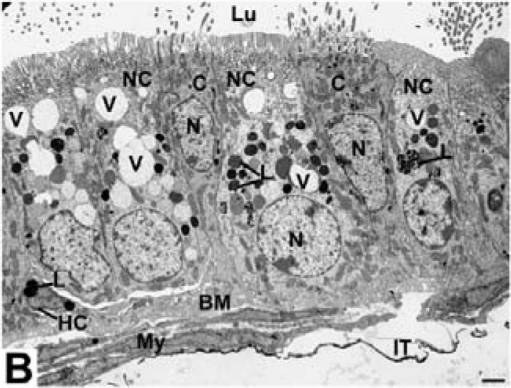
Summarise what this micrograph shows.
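Efferent duct epithelium of nonciliated and ciliated cells resting on a basement membrane, with a lumen above. Nonciliated cells bear apical microvilli and have round to oval basal nuclei; their apical cytoplasm is filled with many large round pale vacuoles mixed with dense lysosomes. Narrower ciliated cells with elongated nuclei lie between them. At the base a halo cell with a dense body lies against the basement membrane, which appears as a thick, wavy grey band. Beneath lie flattened myoid cells and interstitial tissue.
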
